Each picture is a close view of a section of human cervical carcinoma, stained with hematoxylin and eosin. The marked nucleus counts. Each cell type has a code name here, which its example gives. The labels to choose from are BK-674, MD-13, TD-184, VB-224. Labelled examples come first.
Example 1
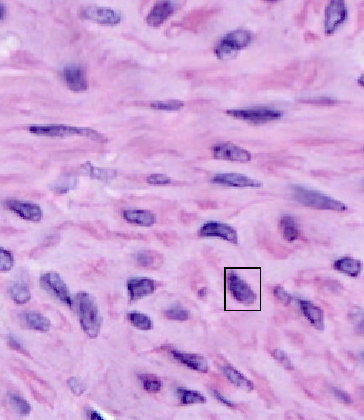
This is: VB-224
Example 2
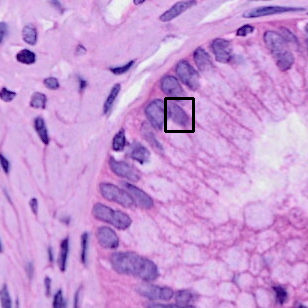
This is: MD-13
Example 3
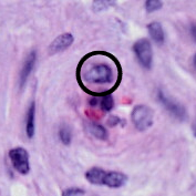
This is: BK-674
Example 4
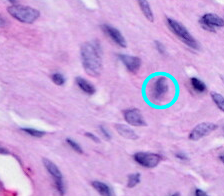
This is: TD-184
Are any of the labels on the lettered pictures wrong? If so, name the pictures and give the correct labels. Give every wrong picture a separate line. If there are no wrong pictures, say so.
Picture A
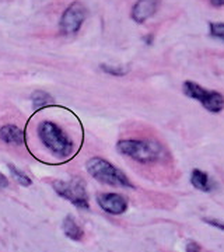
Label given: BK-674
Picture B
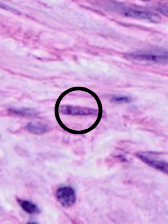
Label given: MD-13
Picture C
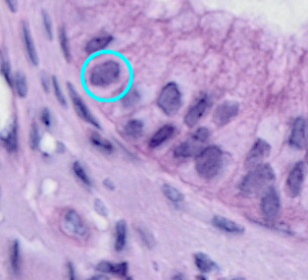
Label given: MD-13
B: not MD-13 but TD-184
